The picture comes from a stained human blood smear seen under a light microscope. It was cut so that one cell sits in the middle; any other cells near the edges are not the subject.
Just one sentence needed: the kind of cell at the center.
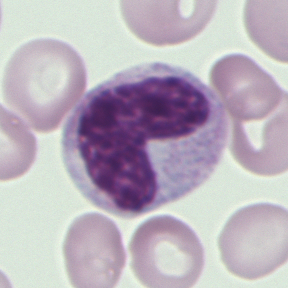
This particular crop is centered on a band neutrophil.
